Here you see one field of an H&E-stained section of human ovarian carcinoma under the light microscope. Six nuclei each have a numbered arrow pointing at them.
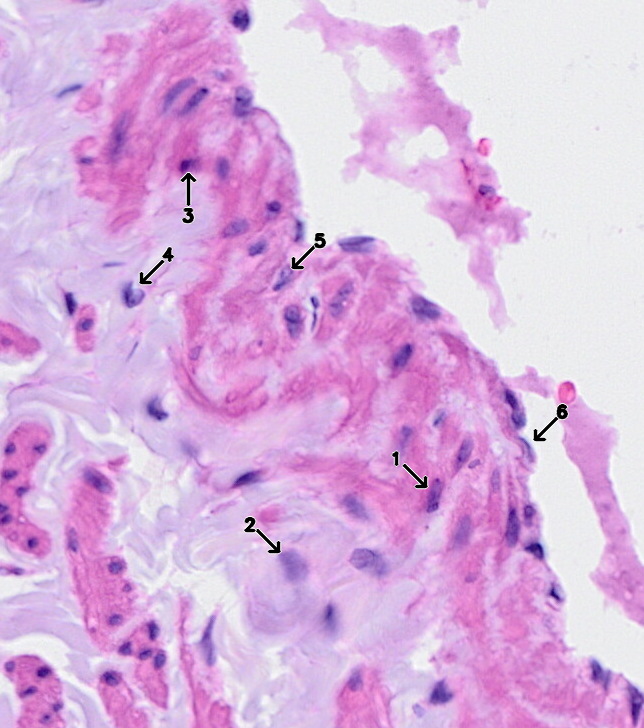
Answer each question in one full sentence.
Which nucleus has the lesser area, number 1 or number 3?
Number 3 is smaller, since number 1 takes up about 1.5 times as much area.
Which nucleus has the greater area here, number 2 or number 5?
The larger nucleus is 2, at roughly 2.5 times the area of 5.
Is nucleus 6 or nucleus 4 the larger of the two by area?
At about 2 times the area of nucleus 6, nucleus 4 is the larger of the two.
